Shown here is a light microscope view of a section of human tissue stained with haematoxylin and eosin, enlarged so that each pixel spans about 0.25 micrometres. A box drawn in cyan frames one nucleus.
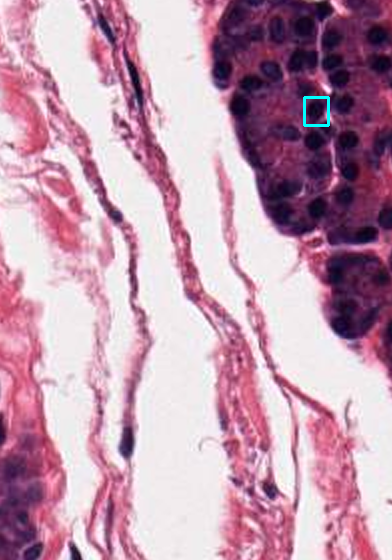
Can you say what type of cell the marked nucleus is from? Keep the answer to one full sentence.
Indicated by the mark is a nucleus that belongs to a pancreatic acinar cell.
